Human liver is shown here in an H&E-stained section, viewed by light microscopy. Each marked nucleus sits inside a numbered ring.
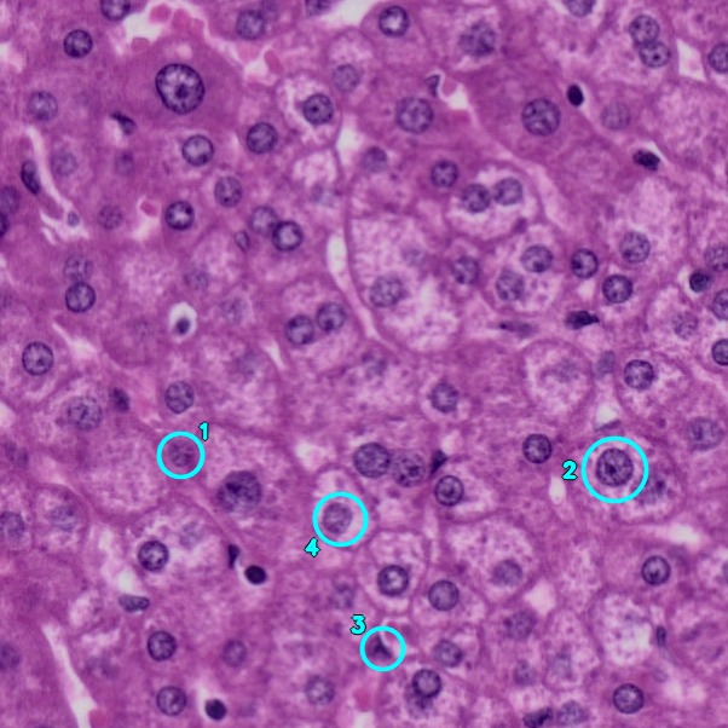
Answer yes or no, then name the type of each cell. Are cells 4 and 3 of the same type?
No, cell 4 is a hepatocyte and cell 3 is an endothelial cell.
